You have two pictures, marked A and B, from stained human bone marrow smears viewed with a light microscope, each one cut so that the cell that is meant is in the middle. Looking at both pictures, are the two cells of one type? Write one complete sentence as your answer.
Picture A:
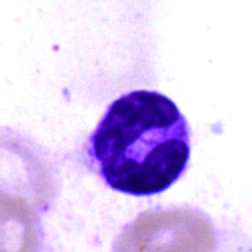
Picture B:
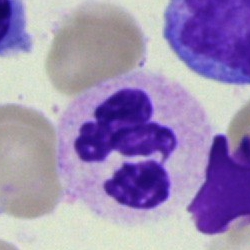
Yes; the cells in both pictures are segmented neutrophils.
